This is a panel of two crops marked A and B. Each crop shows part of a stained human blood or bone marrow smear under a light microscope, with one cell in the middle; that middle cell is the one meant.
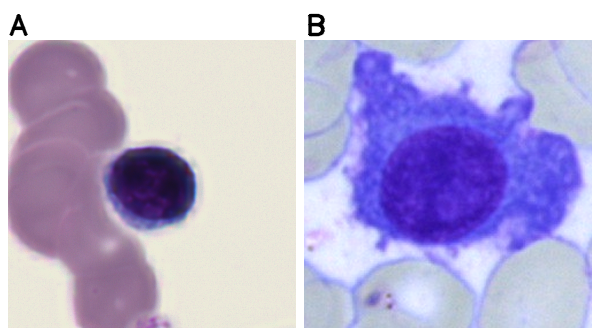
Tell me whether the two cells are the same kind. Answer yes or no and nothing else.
yes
